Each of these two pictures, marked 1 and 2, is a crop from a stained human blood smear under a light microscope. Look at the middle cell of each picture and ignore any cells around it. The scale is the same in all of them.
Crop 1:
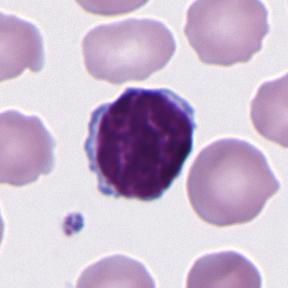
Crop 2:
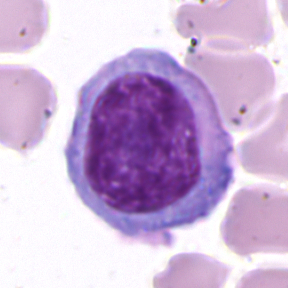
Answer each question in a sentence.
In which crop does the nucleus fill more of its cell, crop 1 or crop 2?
In crop 1 the nucleus takes up the larger part of its cell.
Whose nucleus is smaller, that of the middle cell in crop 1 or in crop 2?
Crop 1 shows the smaller nucleus, since that in crop 2 covers about 1.5 times as much area.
